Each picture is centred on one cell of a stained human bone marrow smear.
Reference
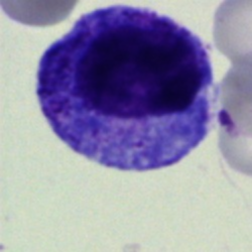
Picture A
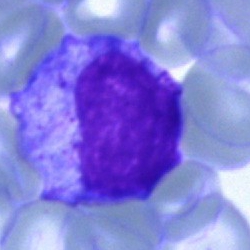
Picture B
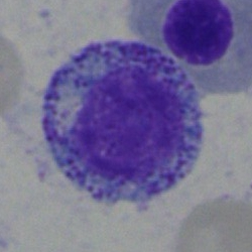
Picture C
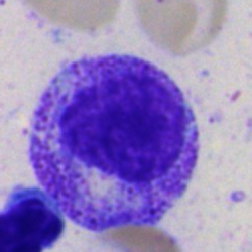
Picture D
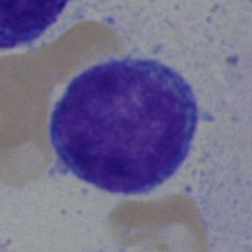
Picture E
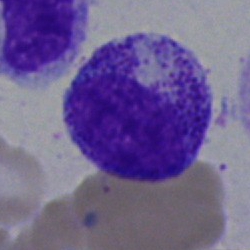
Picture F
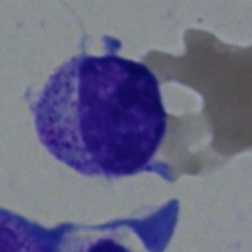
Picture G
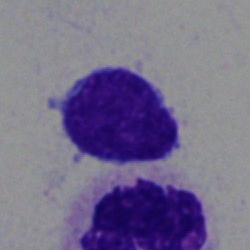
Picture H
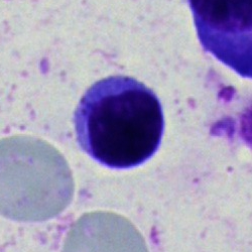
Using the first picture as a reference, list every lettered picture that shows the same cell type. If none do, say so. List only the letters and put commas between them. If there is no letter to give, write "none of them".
A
